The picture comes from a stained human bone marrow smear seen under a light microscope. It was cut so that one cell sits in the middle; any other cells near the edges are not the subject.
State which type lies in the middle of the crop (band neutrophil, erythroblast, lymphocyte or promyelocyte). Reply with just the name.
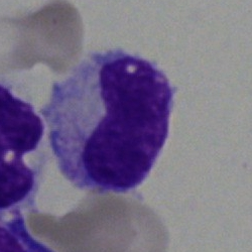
band neutrophil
